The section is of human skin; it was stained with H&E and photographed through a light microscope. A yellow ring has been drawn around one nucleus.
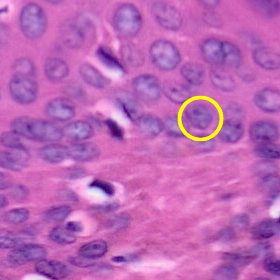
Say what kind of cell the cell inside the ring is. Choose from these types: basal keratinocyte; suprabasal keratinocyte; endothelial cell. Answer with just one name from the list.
basal keratinocyte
